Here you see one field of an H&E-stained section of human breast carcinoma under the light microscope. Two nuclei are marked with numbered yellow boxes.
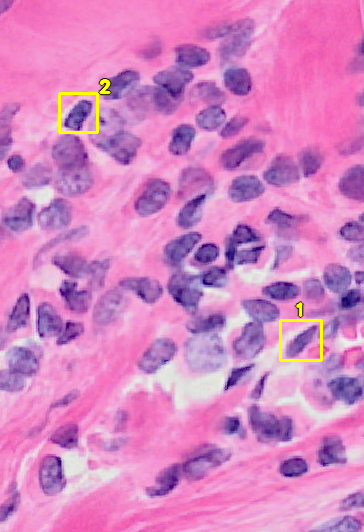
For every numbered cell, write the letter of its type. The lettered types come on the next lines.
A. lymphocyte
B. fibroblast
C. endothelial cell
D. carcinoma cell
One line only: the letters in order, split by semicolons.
C; A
